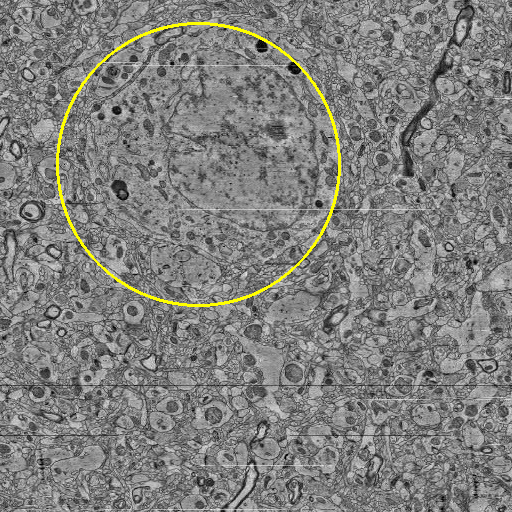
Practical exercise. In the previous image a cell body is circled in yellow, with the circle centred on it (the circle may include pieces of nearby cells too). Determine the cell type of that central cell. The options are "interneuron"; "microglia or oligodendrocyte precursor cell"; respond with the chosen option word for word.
interneuron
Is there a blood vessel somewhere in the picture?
No.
